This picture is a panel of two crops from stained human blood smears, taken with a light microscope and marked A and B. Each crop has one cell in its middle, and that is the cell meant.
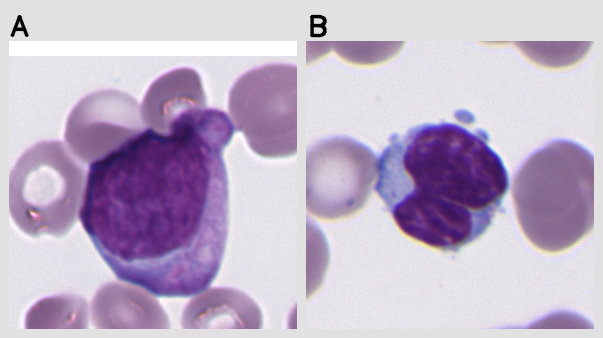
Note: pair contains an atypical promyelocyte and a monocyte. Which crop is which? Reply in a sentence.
Among the crops, crop A is an atypical promyelocyte and crop B is a monocyte.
